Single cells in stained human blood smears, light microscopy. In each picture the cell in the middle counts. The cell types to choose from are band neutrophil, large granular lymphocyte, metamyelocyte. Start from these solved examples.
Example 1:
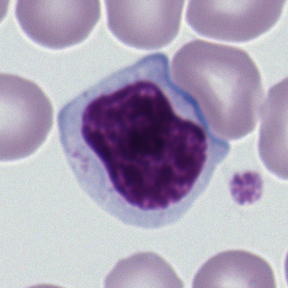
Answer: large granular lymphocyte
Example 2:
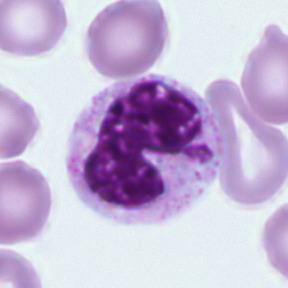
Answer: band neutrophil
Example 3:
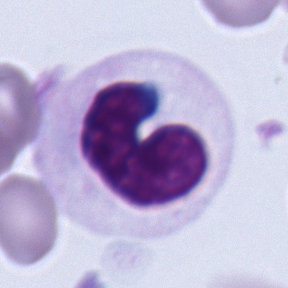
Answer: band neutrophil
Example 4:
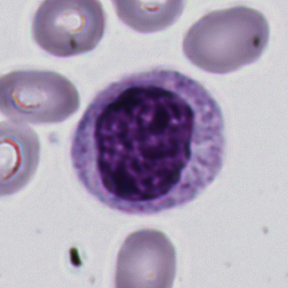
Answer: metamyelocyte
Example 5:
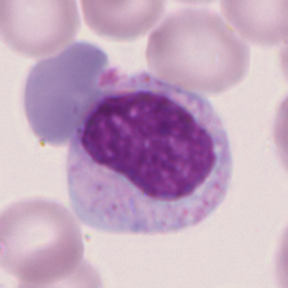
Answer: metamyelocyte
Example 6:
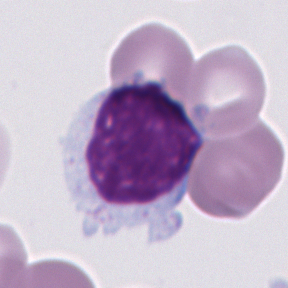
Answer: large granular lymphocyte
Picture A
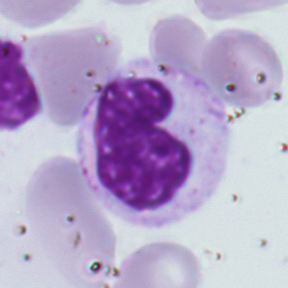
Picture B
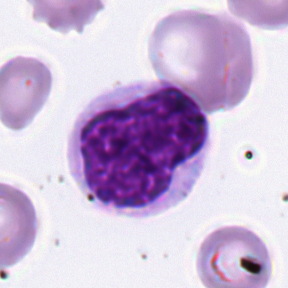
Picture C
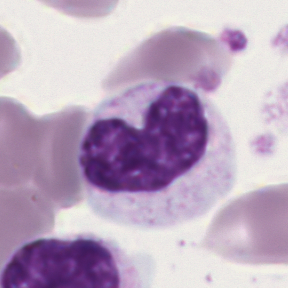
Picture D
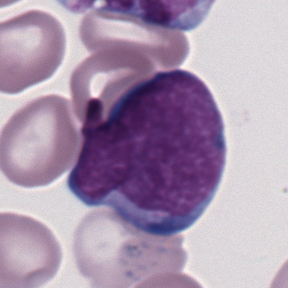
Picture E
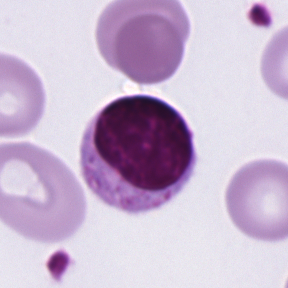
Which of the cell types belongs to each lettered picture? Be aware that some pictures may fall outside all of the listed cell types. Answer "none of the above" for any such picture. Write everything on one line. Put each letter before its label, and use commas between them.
A band neutrophil, B metamyelocyte, C metamyelocyte, D none of the above, E large granular lymphocyte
